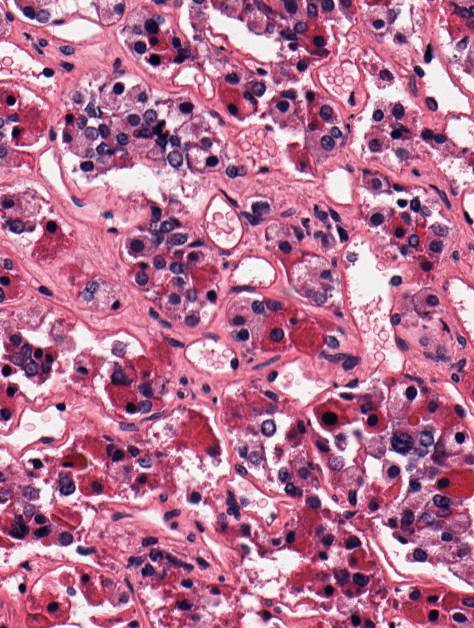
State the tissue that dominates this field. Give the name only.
pars distalis of the pituitary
